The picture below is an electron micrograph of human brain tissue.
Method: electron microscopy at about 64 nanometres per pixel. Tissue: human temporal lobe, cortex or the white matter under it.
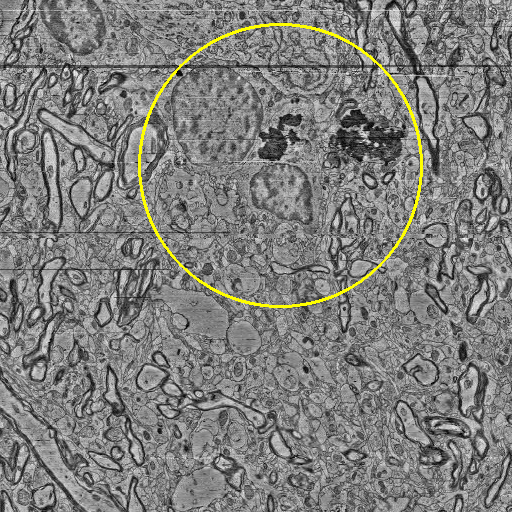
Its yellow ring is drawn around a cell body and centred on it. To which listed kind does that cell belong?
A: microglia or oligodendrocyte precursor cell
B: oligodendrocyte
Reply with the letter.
B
